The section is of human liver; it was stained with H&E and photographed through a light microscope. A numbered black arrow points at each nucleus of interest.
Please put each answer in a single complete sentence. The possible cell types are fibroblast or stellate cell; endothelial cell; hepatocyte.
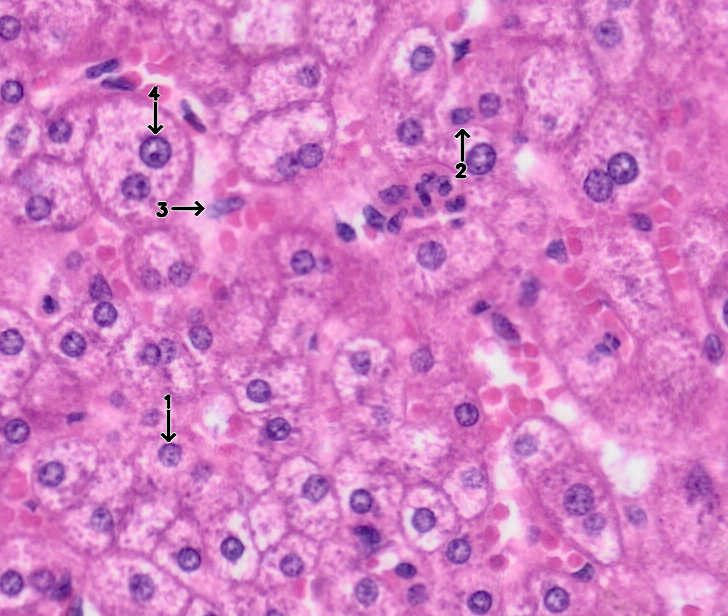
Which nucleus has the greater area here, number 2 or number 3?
At about 1.5 times the area of nucleus 2, nucleus 3 is the larger of the two.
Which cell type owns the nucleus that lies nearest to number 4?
The cell nearest to number 4 is a hepatocyte.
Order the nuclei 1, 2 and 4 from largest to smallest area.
Going from the biggest nucleus down to the smallest gives 4, 1, 2.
